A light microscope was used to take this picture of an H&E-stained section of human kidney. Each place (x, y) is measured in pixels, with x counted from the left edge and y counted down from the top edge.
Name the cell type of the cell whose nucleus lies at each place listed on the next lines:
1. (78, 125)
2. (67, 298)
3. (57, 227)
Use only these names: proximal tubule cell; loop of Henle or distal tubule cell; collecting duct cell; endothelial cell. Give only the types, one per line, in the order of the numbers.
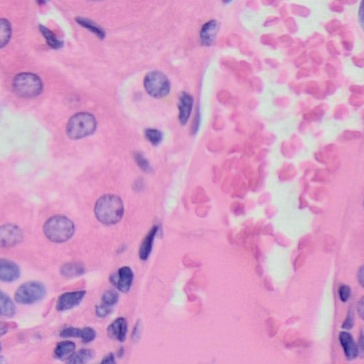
proximal tubule cell
endothelial cell
proximal tubule cell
